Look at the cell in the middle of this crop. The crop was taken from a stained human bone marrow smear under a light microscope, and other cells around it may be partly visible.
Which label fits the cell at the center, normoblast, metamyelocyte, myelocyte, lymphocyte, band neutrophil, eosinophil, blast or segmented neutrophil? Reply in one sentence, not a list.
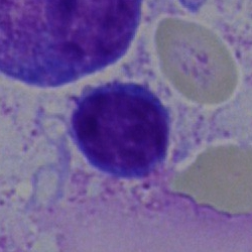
The cell around which this crop is centred is a lymphocyte.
